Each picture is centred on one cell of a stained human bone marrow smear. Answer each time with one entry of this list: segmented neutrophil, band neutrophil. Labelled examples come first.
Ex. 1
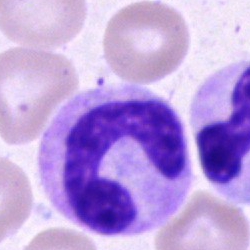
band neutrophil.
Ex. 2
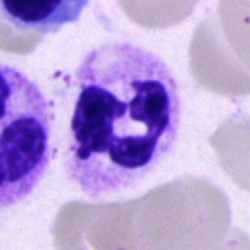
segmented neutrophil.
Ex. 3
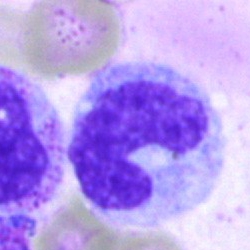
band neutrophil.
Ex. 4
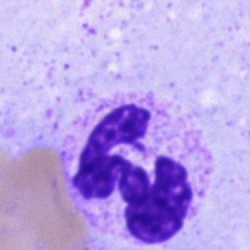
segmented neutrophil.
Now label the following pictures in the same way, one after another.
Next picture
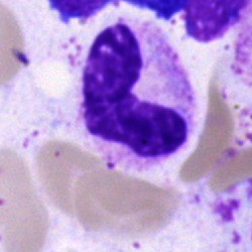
band neutrophil.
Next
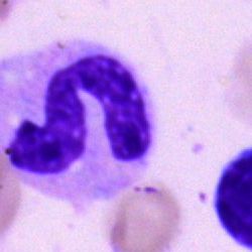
segmented neutrophil.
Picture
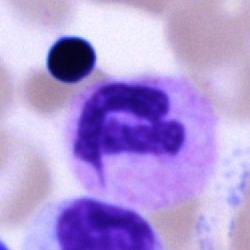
segmented neutrophil.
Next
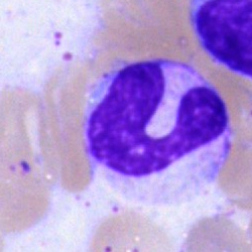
band neutrophil.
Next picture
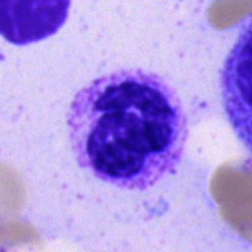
segmented neutrophil.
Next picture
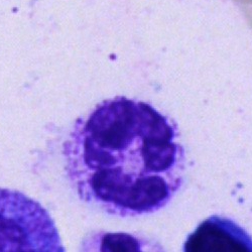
segmented neutrophil.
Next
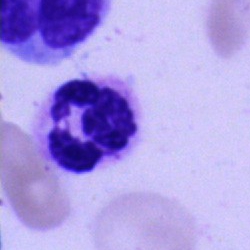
segmented neutrophil.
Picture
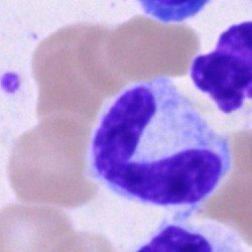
band neutrophil.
